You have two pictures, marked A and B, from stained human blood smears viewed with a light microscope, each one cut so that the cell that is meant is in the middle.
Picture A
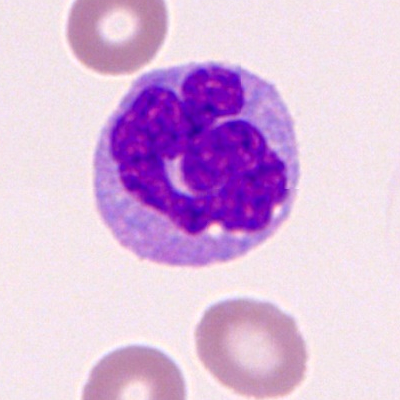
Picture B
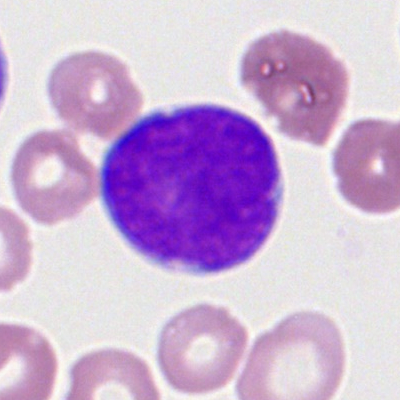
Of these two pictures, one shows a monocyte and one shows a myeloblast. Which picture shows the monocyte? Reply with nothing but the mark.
A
